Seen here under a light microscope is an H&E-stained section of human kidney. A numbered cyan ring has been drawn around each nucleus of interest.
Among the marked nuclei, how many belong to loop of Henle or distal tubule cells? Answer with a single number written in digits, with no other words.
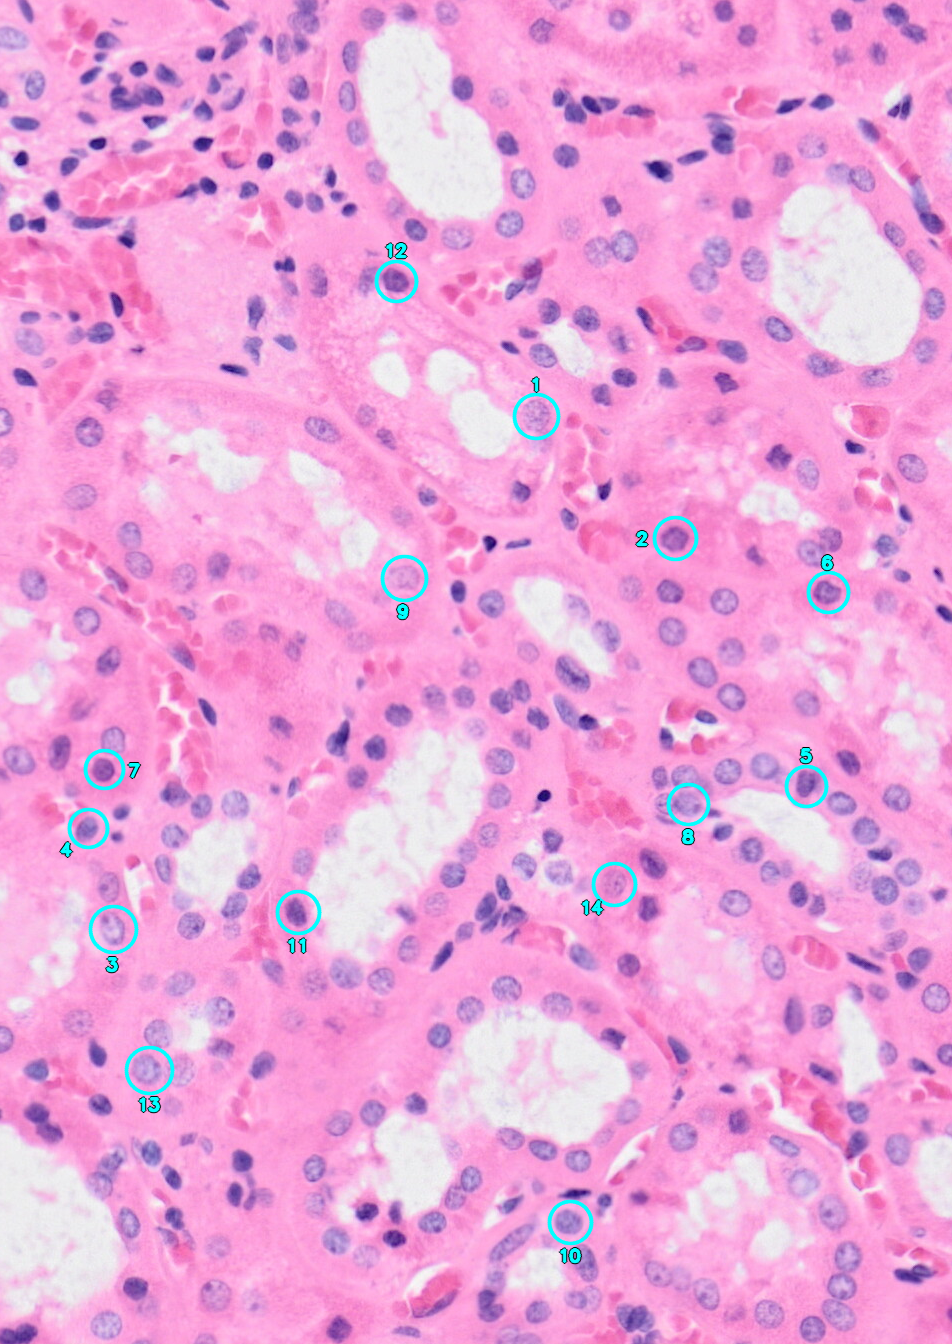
2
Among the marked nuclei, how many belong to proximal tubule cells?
8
